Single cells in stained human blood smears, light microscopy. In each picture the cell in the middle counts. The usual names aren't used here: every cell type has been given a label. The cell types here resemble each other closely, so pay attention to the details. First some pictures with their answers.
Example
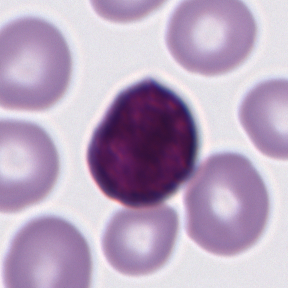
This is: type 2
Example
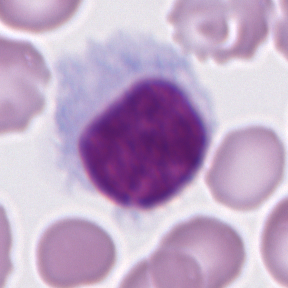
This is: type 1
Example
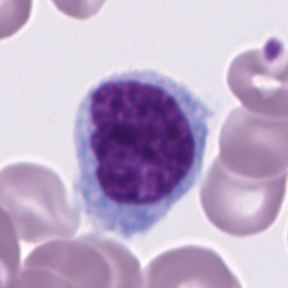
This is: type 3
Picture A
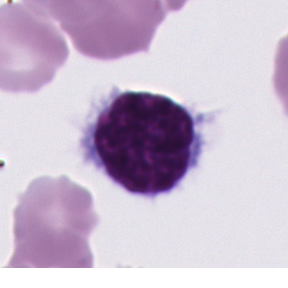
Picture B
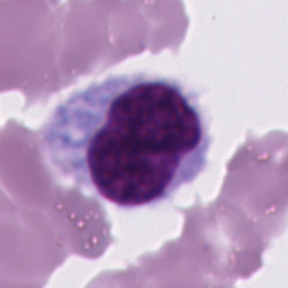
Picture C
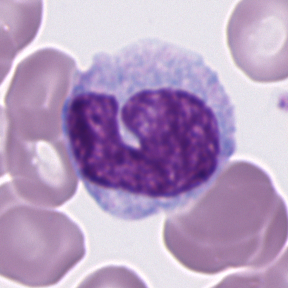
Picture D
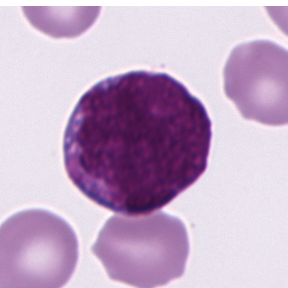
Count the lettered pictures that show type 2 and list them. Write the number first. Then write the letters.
Count: 1 (D)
